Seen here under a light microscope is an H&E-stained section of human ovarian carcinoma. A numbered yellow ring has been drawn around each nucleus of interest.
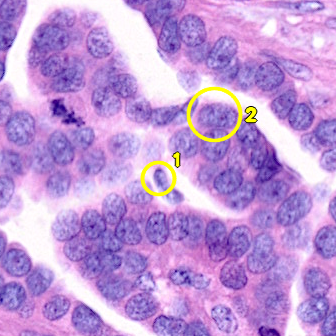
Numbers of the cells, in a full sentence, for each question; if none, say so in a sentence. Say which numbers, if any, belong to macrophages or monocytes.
Cell 1 is a macrophage or monocyte, and this holds for no other numbered cell.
